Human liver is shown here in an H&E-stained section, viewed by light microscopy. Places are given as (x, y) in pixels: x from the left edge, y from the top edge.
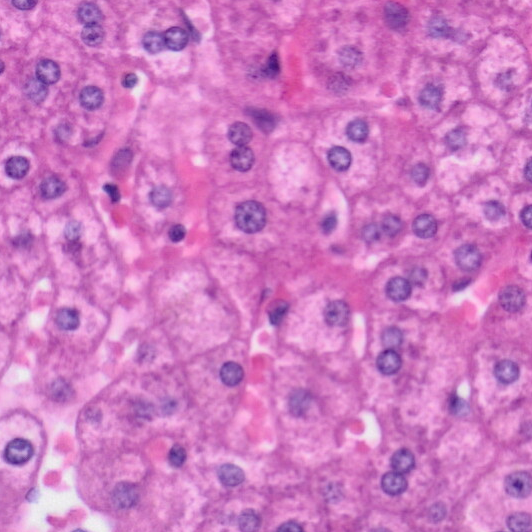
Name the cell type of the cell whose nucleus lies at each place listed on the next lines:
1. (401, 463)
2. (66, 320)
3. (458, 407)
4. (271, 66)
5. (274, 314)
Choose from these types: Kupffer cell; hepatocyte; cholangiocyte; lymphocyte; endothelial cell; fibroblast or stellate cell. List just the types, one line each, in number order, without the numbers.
hepatocyte
hepatocyte
endothelial cell
fibroblast or stellate cell
endothelial cell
